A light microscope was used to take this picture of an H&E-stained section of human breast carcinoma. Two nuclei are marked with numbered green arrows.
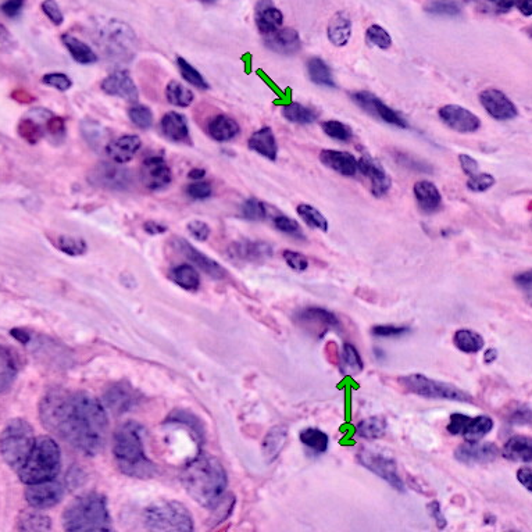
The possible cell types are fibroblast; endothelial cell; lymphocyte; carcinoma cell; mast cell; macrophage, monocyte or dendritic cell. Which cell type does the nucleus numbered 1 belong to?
lymphocyte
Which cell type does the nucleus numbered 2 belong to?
endothelial cell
